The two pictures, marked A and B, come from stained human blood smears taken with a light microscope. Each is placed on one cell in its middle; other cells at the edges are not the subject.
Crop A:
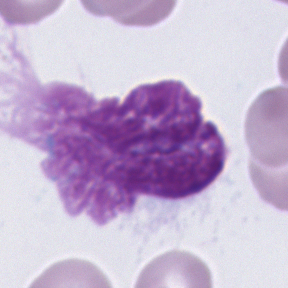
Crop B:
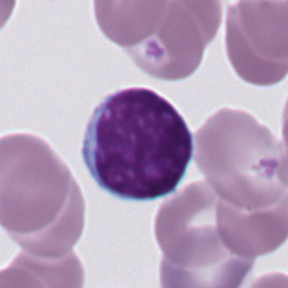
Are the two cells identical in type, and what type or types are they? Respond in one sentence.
No, crop B centres on a typical lymphocyte, and crop A centres on a smudge cell.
